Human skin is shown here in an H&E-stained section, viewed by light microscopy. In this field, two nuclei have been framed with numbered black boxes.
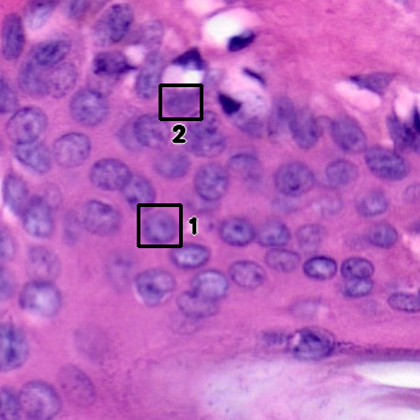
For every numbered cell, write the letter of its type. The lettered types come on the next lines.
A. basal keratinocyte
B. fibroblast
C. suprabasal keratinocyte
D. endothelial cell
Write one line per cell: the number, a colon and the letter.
1: C
2: A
